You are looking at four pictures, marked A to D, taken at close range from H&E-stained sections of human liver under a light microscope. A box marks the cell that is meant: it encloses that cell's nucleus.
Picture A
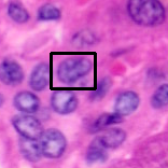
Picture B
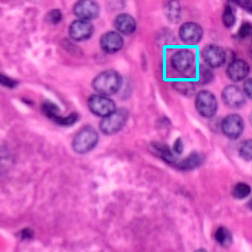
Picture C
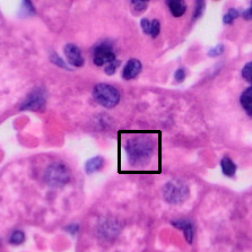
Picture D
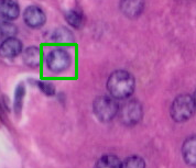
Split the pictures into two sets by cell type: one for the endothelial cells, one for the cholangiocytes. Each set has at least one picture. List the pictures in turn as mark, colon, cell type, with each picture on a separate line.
A: cholangiocyte
B: cholangiocyte
C: endothelial cell
D: cholangiocyte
